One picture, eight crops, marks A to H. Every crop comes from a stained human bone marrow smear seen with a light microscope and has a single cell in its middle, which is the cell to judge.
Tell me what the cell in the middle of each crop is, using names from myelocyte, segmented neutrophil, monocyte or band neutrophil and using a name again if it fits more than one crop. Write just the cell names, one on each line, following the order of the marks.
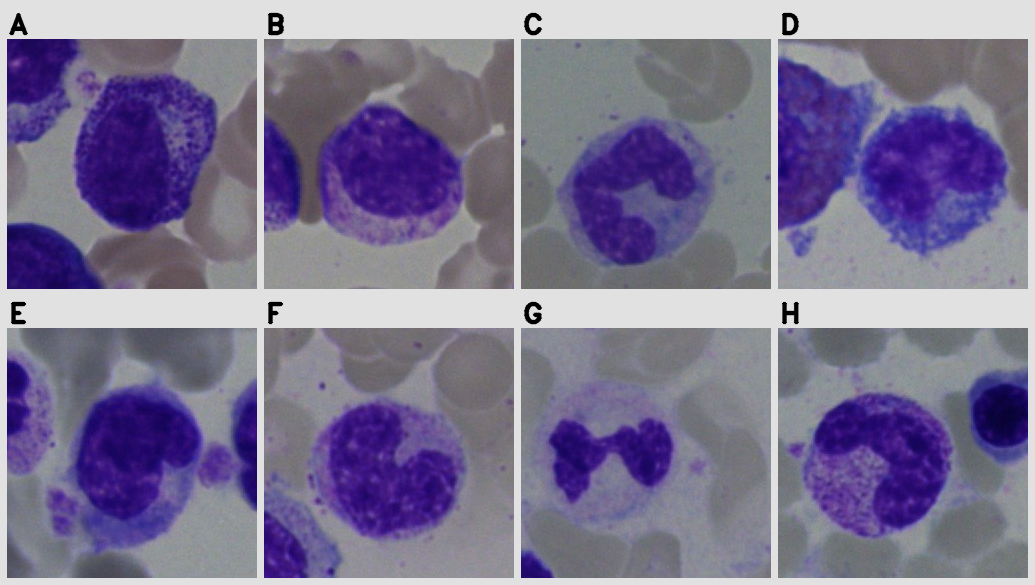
myelocyte
myelocyte
monocyte
monocyte
monocyte
band neutrophil
segmented neutrophil
band neutrophil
